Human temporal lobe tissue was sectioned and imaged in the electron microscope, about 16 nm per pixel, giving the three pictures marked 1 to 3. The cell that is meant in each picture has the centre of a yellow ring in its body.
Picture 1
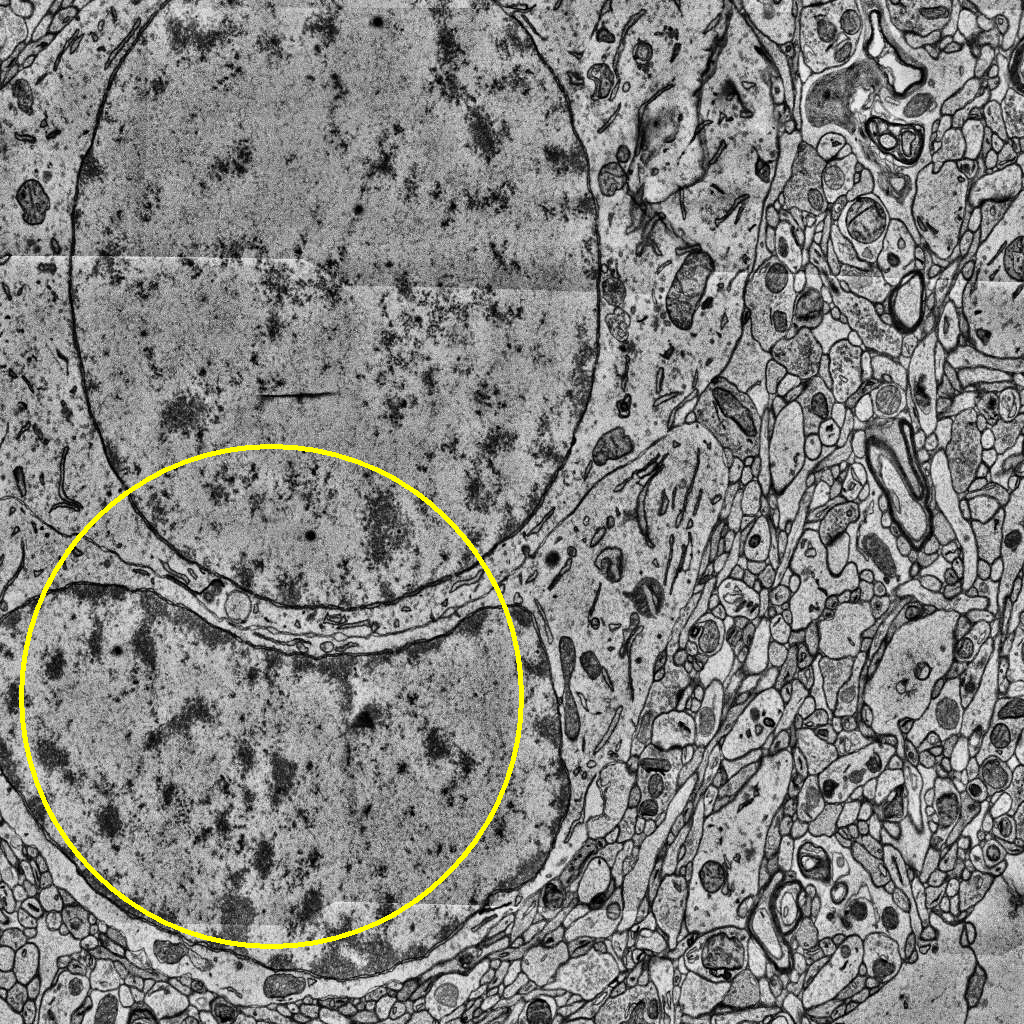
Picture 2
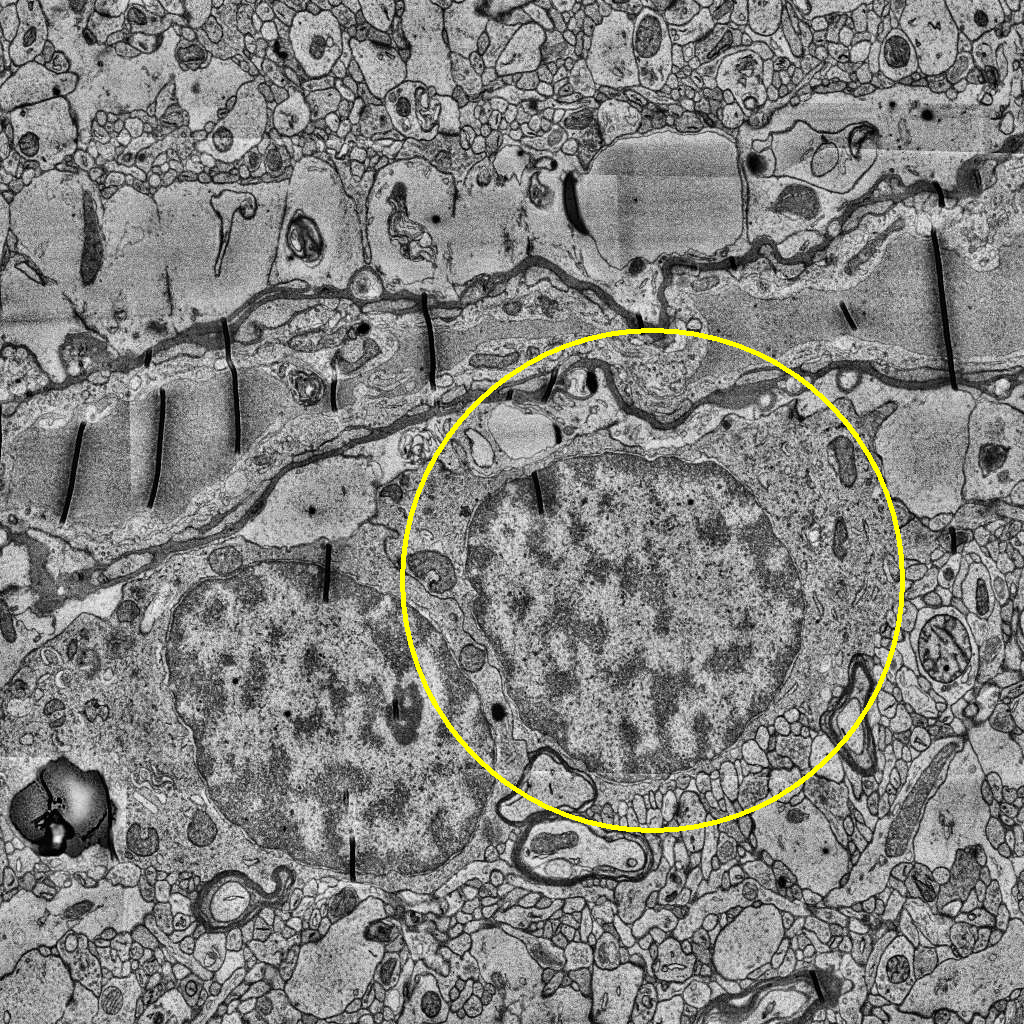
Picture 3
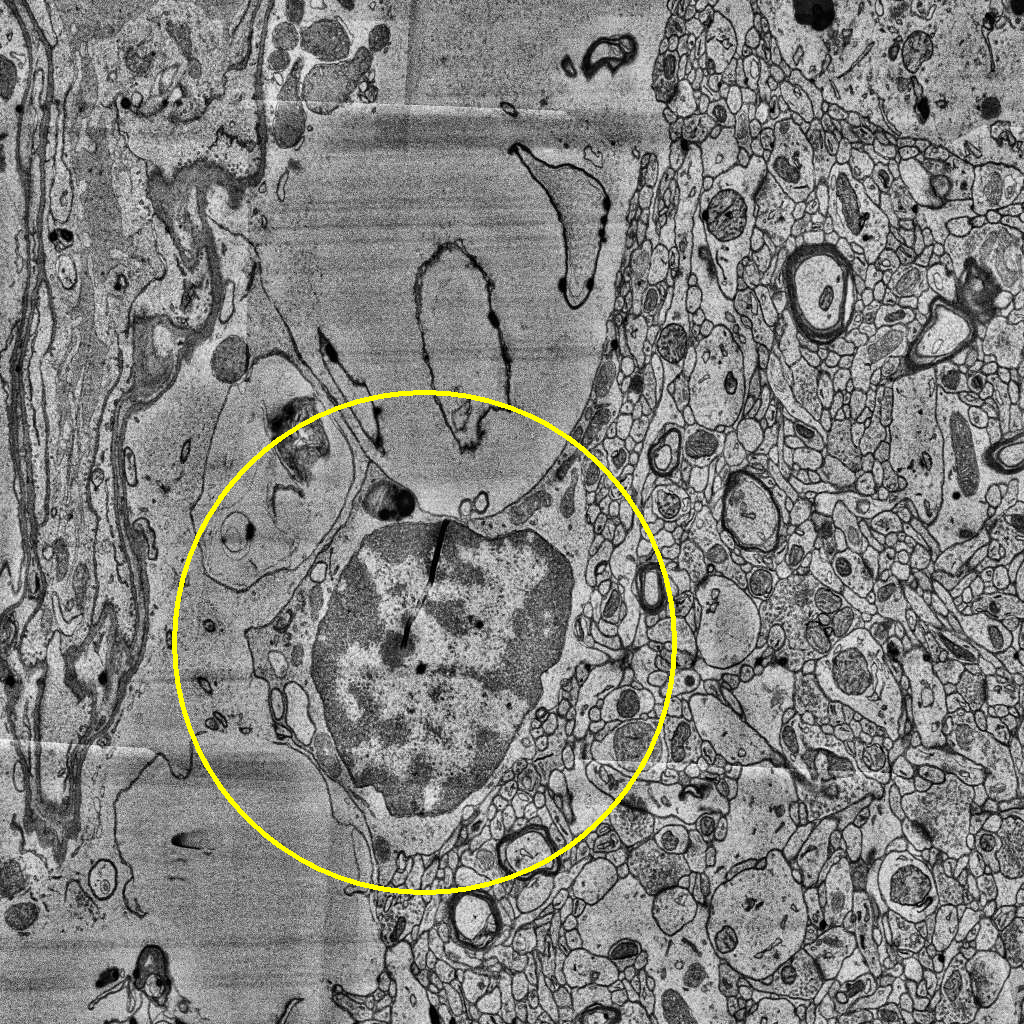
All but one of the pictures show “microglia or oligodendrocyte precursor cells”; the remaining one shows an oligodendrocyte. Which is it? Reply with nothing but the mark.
2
